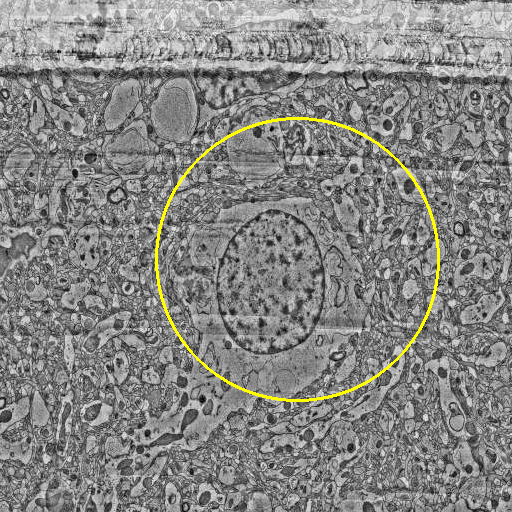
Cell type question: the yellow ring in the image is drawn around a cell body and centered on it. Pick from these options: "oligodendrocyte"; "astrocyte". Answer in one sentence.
The ringed cell at the center is an astrocyte.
